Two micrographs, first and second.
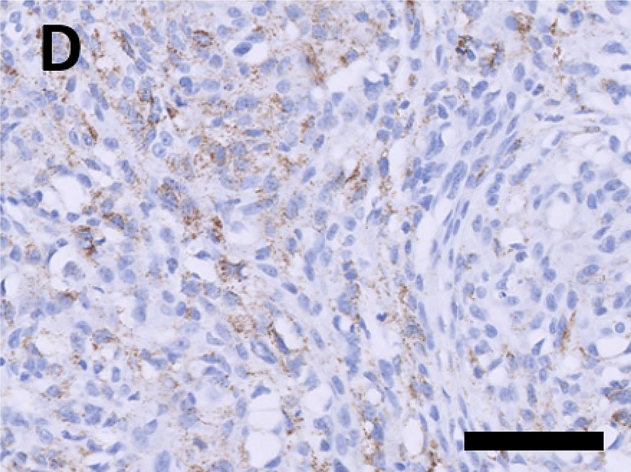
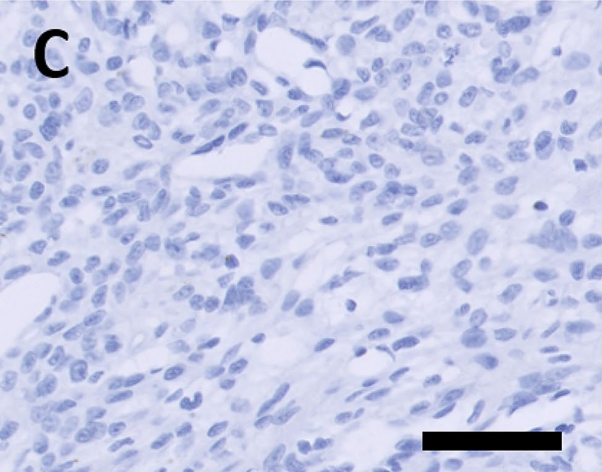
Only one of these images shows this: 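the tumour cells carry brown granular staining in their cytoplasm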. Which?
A: The first image.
